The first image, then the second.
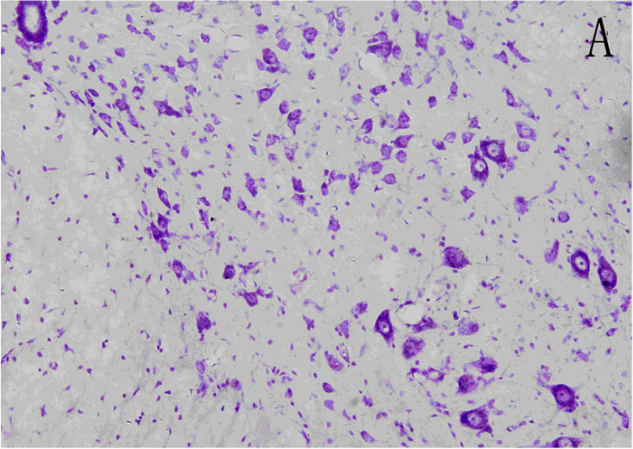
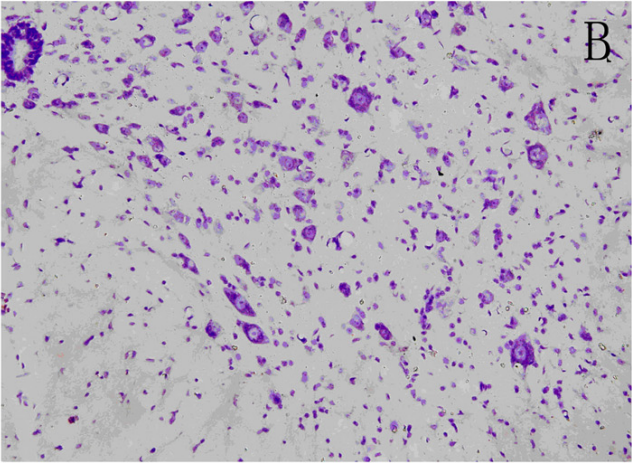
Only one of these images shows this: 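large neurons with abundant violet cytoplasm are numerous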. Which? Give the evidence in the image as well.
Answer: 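Second image: only a few large violet neurons are scattered among many small nuclei. First image: many large violet neurons with pale nuclei are grouped across the field. So: the first image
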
